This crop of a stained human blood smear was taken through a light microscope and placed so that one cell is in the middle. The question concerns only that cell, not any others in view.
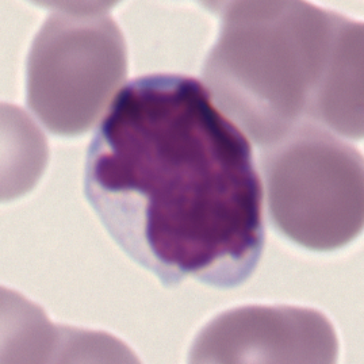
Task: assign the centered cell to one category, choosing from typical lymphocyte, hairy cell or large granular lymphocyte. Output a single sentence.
The cell in the exact centre of the crop is a large granular lymphocyte.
